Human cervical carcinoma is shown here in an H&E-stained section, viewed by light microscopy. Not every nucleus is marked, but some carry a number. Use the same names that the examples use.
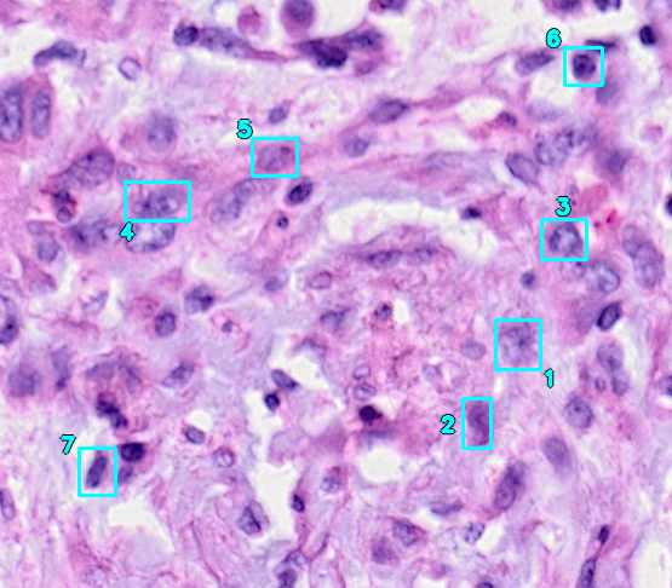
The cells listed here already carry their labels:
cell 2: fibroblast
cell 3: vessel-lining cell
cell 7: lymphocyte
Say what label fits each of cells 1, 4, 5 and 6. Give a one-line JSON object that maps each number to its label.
{"1": "fibroblast", "4": "vessel-lining cell", "5": "vessel-lining cell", "6": "lymphocyte"}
